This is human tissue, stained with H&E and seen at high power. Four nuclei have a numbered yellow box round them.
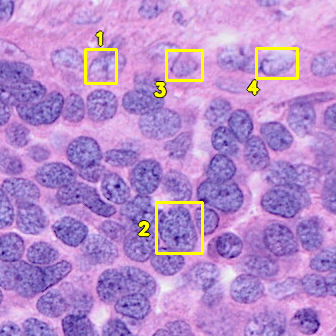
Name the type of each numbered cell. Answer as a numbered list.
1. fibroblast
2. carcinoma cell
3. fibroblast
4. fibroblast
